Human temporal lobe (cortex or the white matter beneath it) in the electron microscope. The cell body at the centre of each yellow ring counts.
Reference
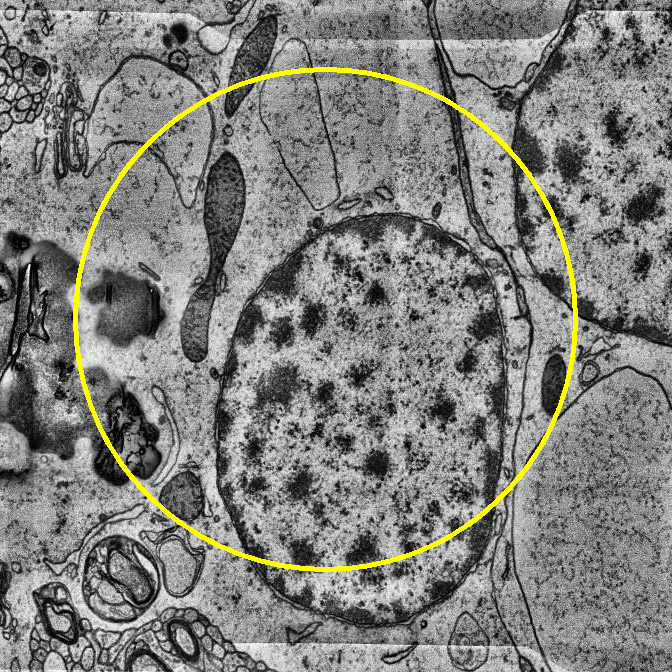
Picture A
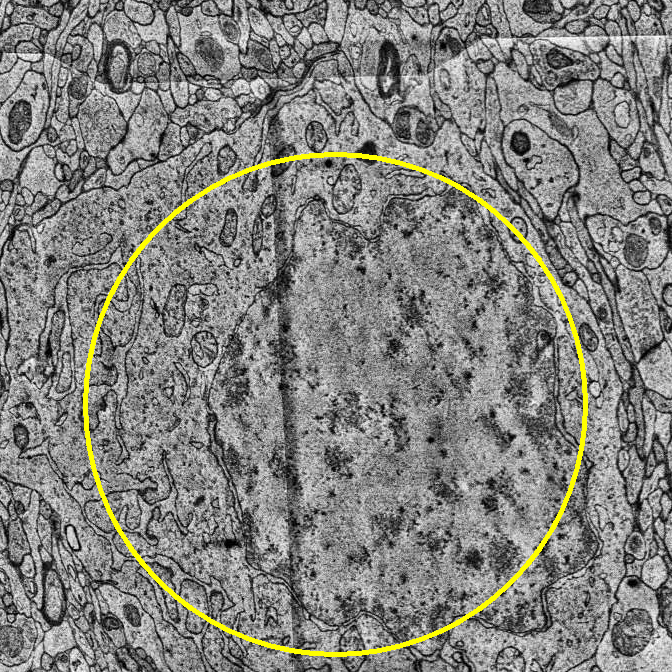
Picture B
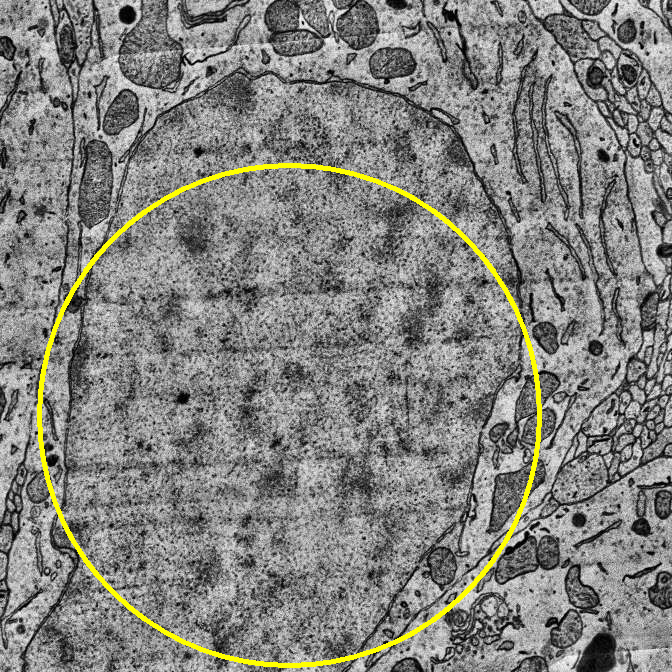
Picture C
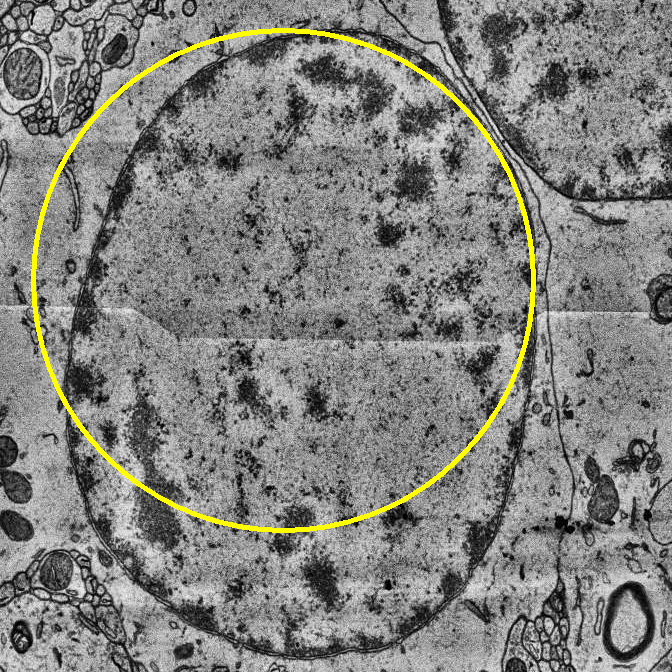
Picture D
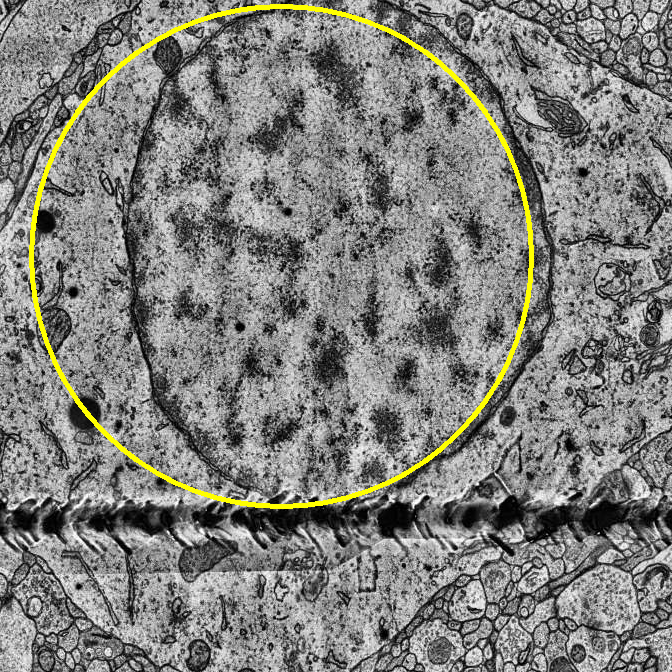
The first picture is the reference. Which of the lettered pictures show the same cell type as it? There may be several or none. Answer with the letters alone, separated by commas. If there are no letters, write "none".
C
